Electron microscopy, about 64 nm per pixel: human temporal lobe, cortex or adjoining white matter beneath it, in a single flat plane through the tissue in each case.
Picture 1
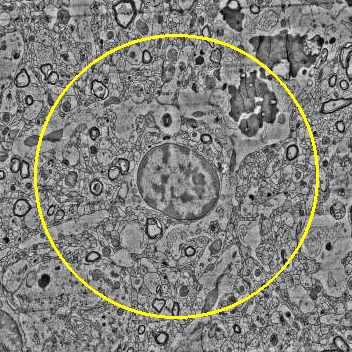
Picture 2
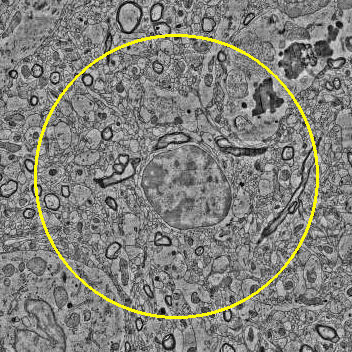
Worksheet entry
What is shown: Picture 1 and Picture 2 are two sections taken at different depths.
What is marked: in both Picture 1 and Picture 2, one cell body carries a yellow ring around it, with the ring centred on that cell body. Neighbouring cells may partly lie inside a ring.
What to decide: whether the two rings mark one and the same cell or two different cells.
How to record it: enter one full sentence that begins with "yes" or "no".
Yes, both marked profiles belong to the very same cell.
